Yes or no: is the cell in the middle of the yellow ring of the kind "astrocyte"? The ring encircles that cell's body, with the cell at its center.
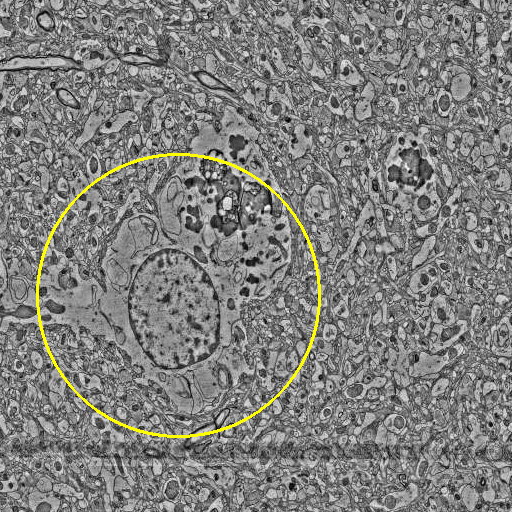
yes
